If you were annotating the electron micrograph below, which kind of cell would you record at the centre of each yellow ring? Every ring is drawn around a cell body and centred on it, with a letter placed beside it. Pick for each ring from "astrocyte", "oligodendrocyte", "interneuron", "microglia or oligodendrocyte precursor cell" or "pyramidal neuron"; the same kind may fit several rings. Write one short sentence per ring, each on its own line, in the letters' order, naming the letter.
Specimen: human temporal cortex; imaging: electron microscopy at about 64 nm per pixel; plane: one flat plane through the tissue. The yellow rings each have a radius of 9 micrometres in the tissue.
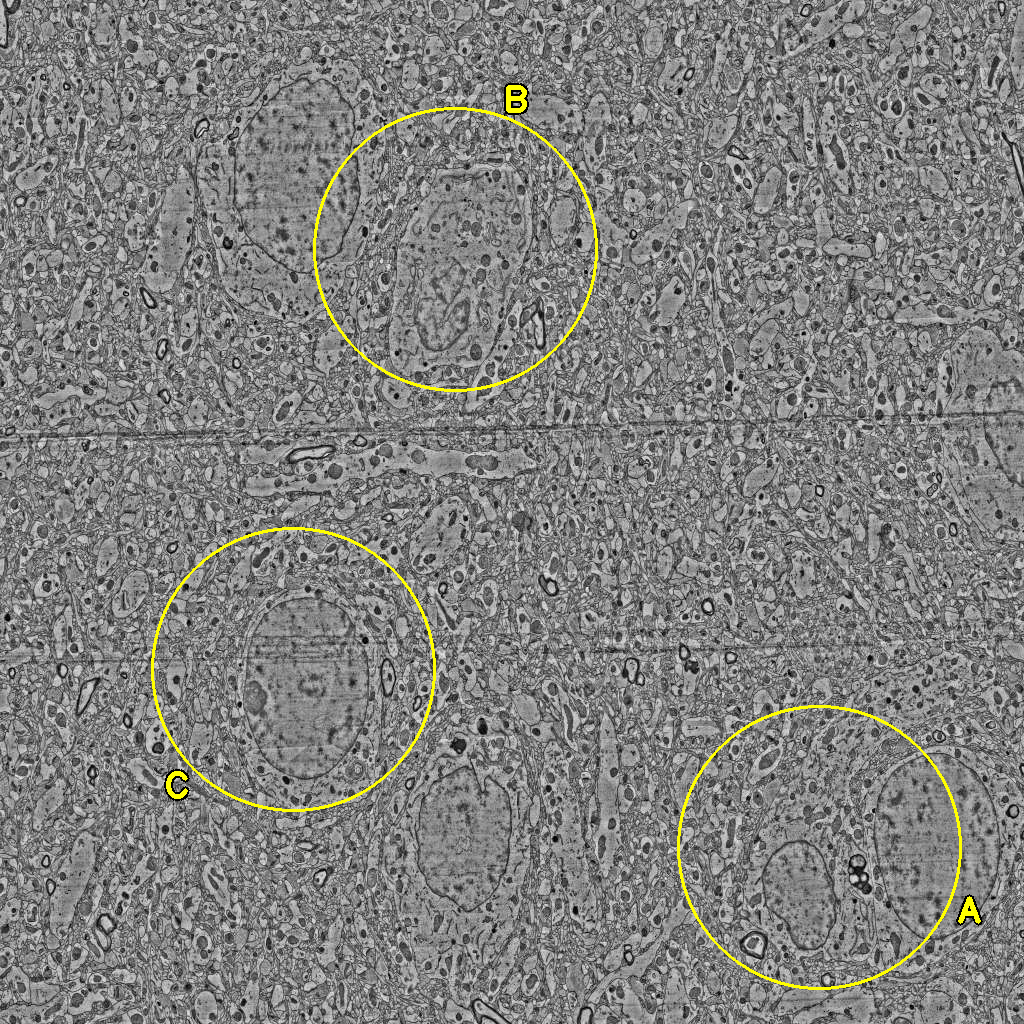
For ring A, I would record a pyramidal neuron.
For ring B, I would record an interneuron.
For ring C, I would record a pyramidal neuron.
